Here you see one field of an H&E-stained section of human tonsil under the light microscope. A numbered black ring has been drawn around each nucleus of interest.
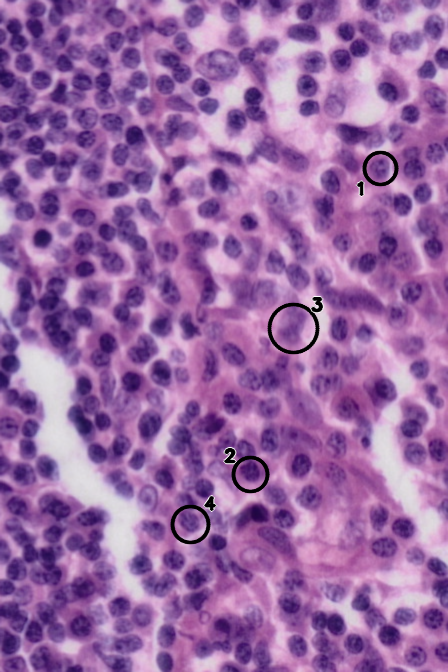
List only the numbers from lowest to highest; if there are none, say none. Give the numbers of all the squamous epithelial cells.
3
